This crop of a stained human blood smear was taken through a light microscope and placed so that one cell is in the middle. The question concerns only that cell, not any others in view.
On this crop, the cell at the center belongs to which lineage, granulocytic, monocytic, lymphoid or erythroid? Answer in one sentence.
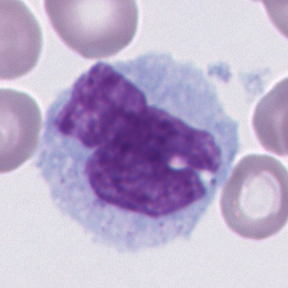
The centered cell here is of monocytic lineage.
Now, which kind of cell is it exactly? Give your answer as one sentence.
The cell of interest, in the center, is a monocyte.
